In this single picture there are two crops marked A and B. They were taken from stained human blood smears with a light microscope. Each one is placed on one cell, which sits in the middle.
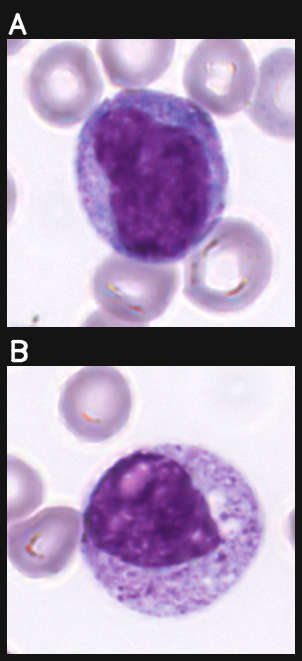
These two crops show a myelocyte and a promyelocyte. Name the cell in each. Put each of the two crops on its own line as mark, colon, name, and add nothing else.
A: promyelocyte
B: myelocyte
